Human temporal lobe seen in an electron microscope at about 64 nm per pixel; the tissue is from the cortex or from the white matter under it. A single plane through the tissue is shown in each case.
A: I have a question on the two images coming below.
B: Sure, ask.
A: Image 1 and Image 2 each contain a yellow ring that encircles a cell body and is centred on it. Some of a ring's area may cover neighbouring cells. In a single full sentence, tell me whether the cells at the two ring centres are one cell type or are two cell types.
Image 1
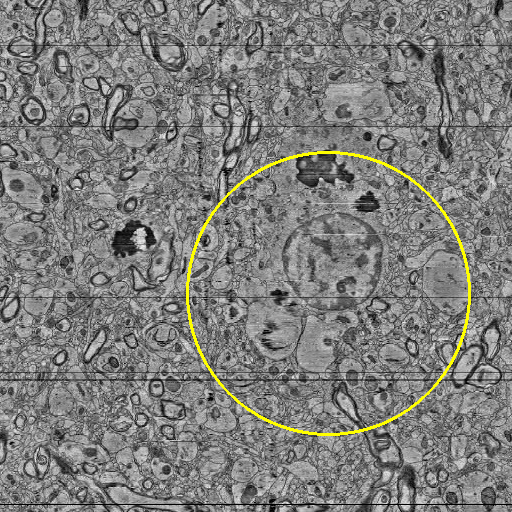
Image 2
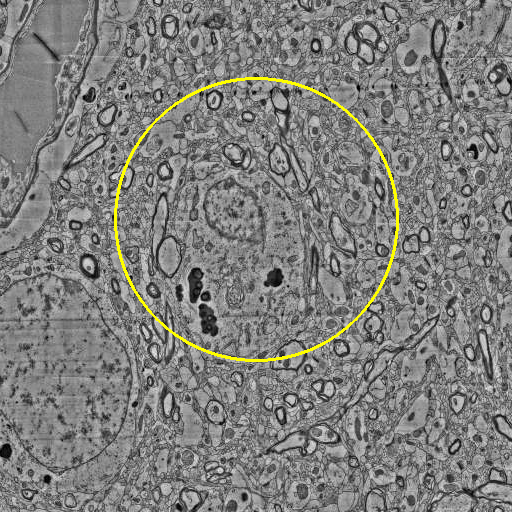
As for the ring-centre cells, the one in Image 1 and the one in Image 2 are two cell types.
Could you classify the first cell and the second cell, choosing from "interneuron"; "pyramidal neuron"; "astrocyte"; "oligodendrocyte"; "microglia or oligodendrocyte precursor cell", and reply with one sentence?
The second cell is a pyramidal neuron, while the first is an oligodendrocyte.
